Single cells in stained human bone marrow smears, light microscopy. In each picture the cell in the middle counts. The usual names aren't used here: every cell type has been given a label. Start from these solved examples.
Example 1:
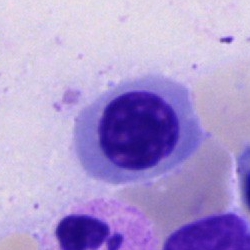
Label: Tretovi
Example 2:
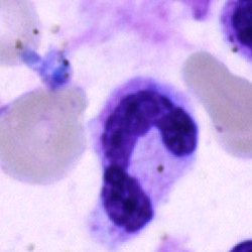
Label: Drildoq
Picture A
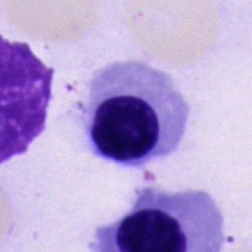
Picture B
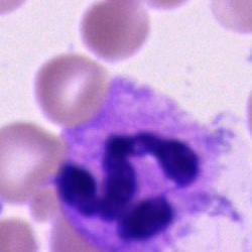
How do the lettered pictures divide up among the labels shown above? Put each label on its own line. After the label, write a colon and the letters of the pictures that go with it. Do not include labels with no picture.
Tretovi: A
Drildoq: B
